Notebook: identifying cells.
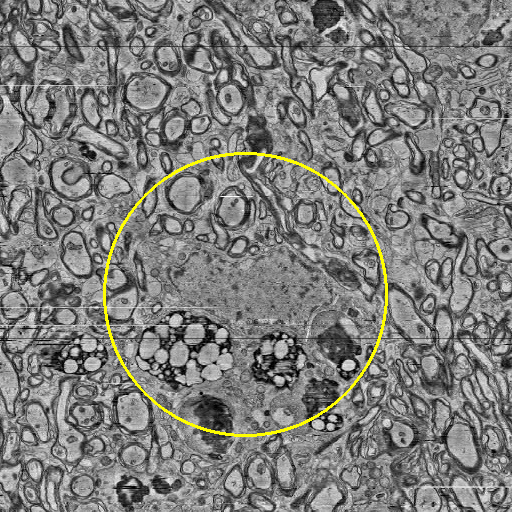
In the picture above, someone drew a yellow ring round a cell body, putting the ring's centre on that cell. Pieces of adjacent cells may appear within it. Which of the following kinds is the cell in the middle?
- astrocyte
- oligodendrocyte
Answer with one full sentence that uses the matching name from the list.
In this picture, the yellow ring is centred on the body of an astrocyte.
